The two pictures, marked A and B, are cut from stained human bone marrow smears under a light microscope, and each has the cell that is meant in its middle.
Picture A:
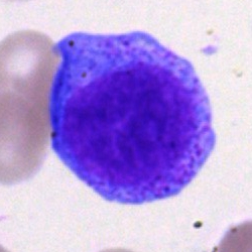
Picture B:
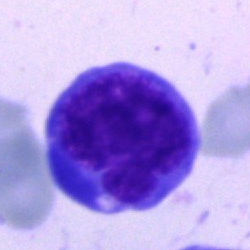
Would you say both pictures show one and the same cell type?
no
